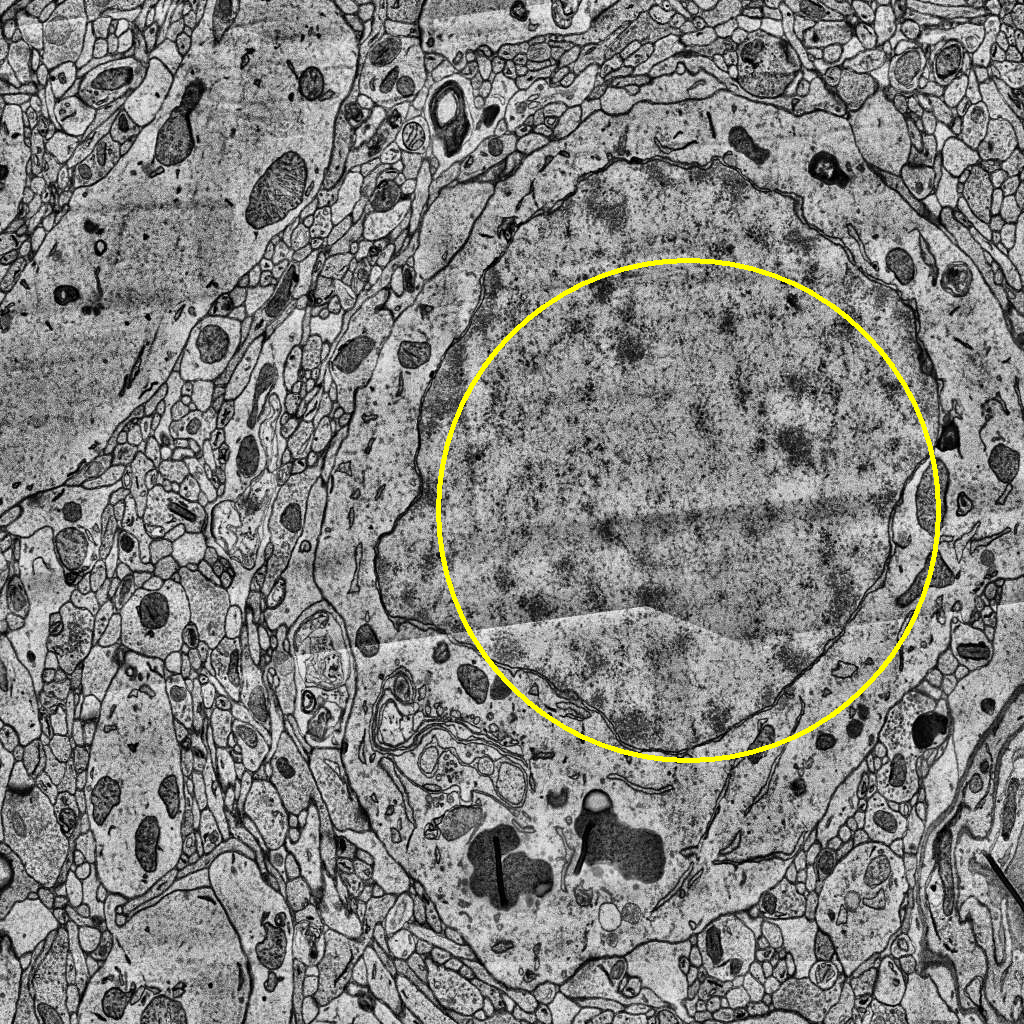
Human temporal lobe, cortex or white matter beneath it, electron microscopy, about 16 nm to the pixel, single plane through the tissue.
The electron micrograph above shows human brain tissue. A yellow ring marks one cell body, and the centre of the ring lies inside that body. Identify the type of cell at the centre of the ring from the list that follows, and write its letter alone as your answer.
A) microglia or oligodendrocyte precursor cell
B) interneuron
B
